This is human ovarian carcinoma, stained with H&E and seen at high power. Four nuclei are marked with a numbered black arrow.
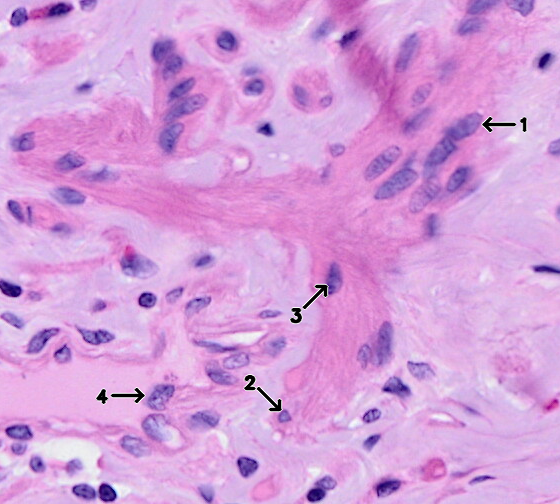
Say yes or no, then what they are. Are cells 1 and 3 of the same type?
Yes, both are smooth muscle cells.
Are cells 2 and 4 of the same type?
No, cell 2 is a smooth muscle cell and cell 4 is an endothelial cell.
